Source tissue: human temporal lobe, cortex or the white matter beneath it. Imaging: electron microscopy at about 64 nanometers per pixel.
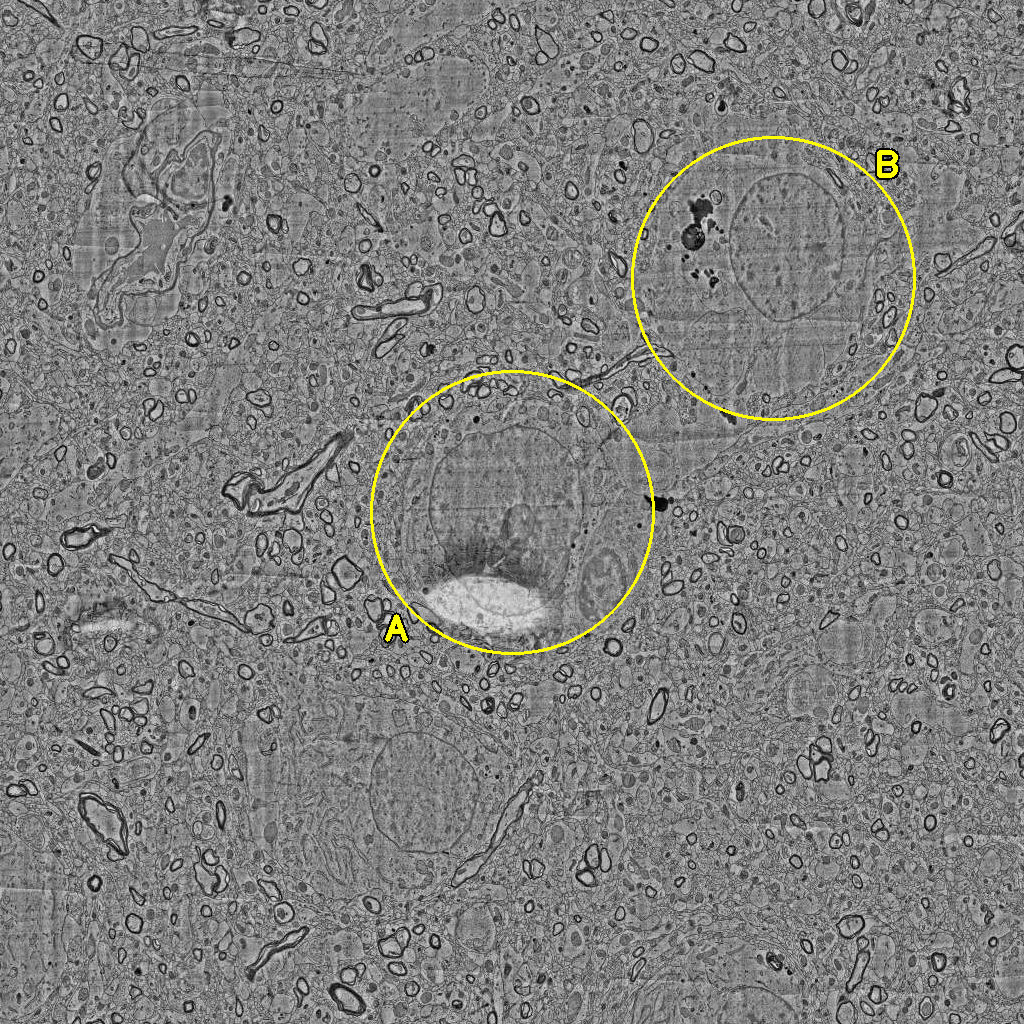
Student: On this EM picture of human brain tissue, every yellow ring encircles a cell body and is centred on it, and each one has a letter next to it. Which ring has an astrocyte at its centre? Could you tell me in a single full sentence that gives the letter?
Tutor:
Ring B is the one drawn around the cell you are asking about.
